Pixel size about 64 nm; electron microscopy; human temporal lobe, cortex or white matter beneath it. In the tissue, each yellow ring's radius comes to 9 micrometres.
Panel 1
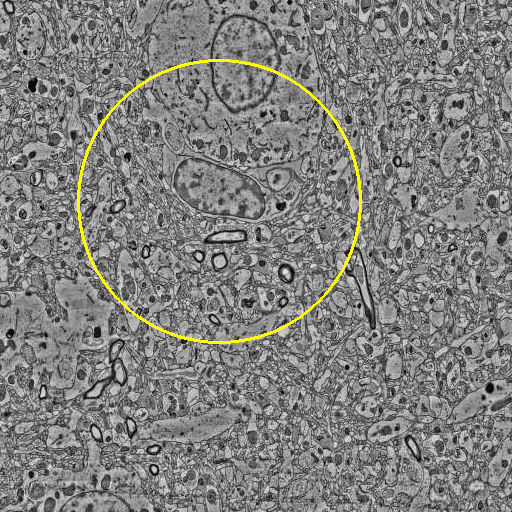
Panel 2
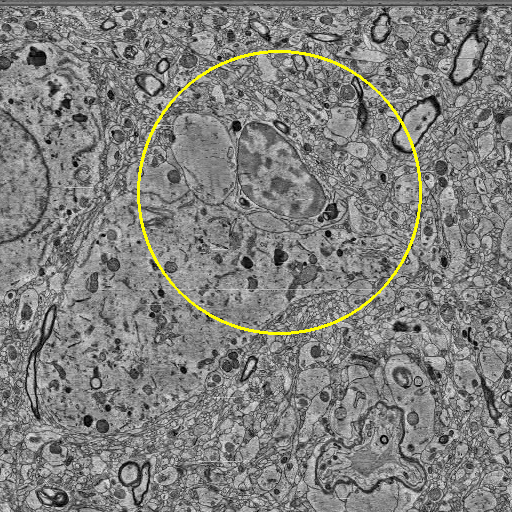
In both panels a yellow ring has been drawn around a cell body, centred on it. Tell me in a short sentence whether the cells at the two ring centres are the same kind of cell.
Yes, they are the same kind of cell.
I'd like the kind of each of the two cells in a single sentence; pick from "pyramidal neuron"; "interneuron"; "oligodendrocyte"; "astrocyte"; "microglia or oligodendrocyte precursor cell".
Each cell at the centre of a ring is a microglial cell or oligodendrocyte precursor cell.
